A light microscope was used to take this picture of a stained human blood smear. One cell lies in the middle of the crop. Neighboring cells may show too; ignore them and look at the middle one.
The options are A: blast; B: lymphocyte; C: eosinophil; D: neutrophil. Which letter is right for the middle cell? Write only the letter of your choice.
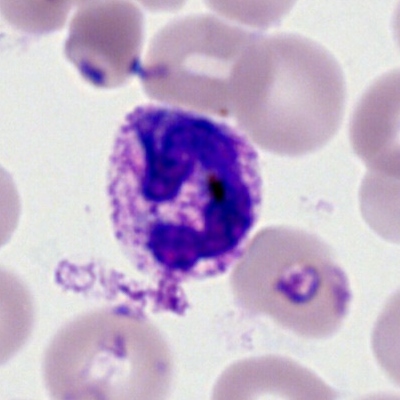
D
